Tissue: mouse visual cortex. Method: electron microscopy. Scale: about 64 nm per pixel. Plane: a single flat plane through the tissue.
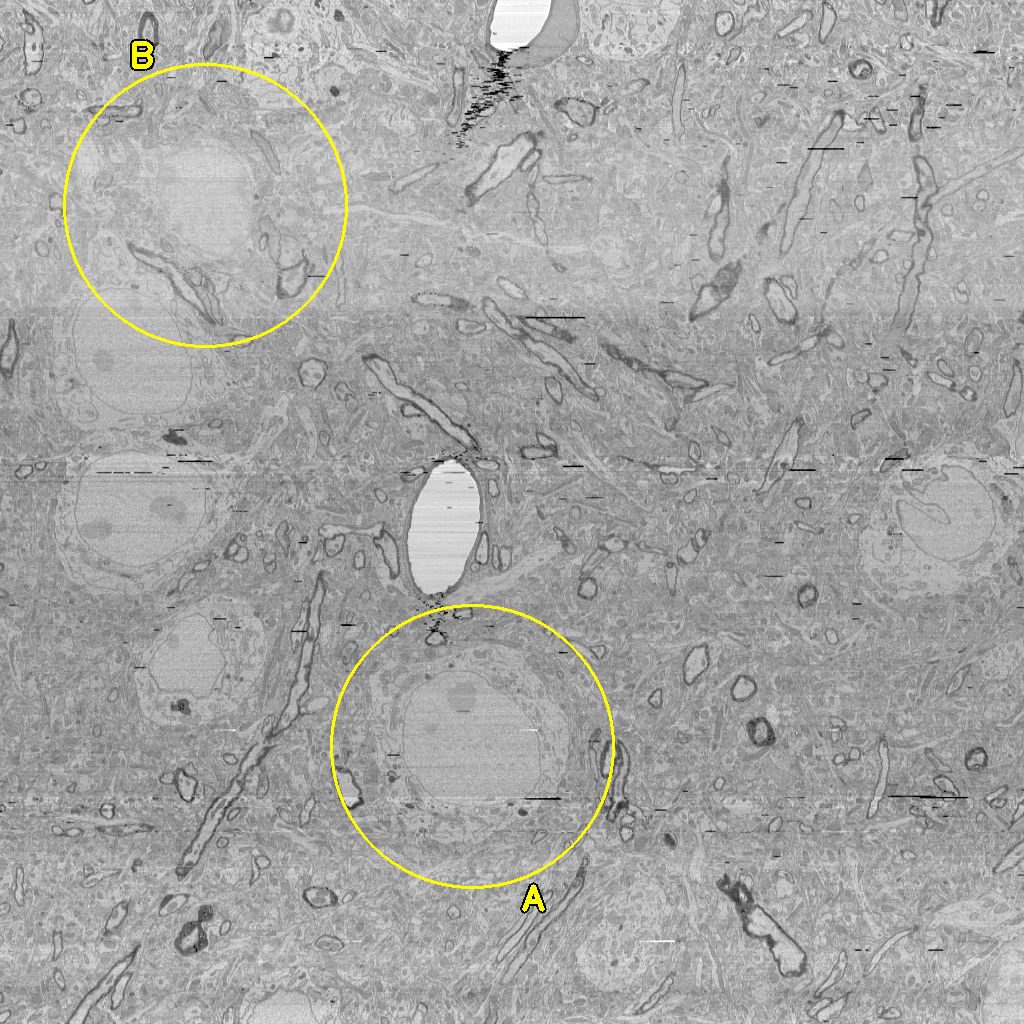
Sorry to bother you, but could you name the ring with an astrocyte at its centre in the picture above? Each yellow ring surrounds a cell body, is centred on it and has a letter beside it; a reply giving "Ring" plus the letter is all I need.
Ring B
